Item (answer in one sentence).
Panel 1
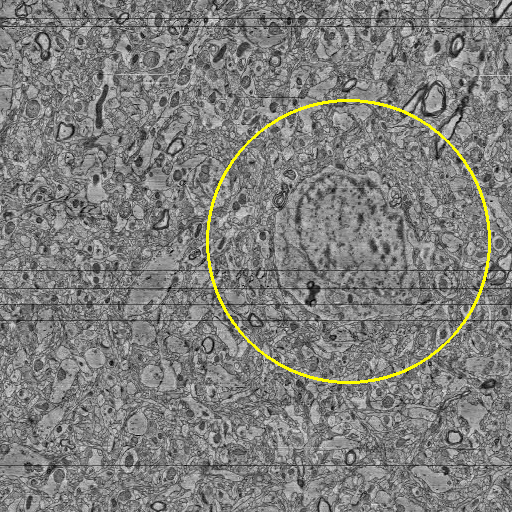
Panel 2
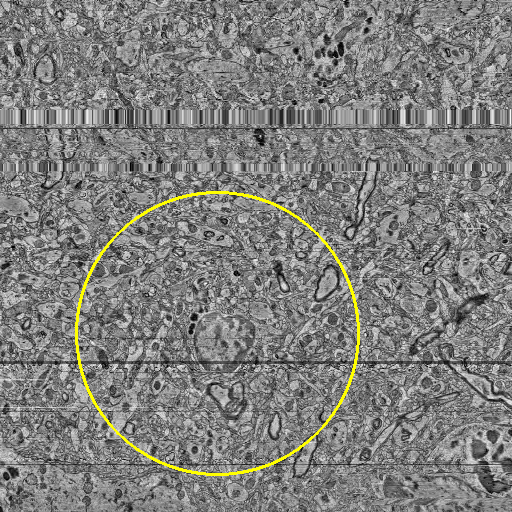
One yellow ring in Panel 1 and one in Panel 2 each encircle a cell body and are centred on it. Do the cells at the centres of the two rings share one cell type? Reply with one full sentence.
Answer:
No, Panel 1 and Panel 2 show cells of two types at the centres of their rings.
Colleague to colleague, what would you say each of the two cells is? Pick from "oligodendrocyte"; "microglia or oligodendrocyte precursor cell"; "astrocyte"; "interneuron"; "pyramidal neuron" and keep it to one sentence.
The cell in the first picture is an interneuron; the second picture's cell is a microglial cell or oligodendrocyte precursor cell.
